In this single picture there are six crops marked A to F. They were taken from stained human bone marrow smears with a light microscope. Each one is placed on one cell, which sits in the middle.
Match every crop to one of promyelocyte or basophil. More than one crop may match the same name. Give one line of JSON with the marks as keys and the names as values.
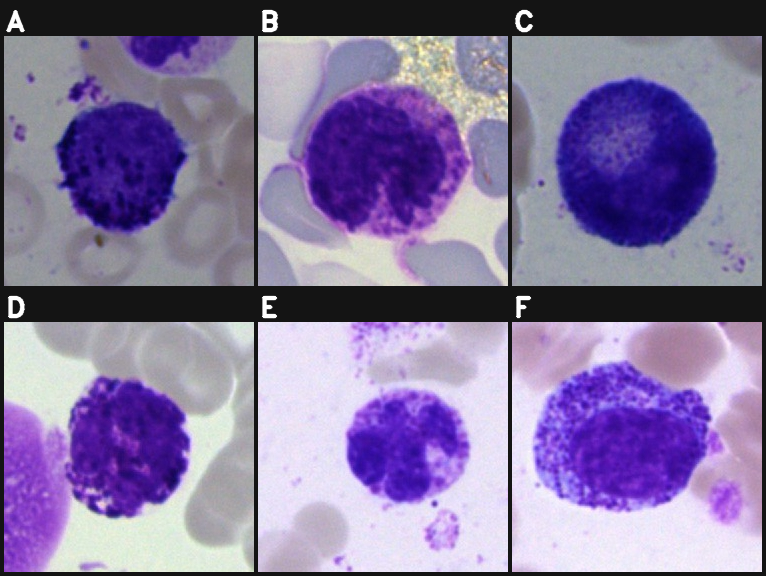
{"A": "basophil", "B": "basophil", "C": "promyelocyte", "D": "basophil", "E": "basophil", "F": "promyelocyte"}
